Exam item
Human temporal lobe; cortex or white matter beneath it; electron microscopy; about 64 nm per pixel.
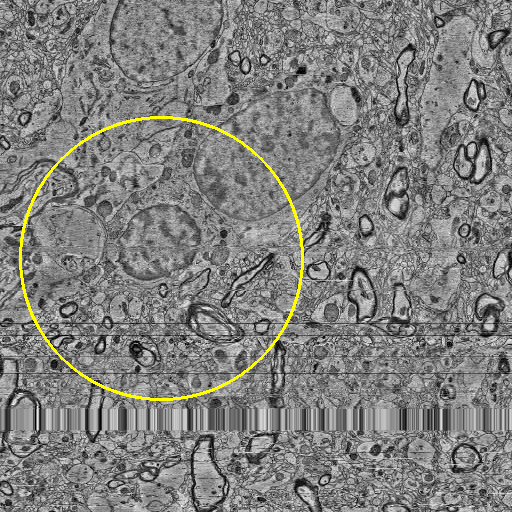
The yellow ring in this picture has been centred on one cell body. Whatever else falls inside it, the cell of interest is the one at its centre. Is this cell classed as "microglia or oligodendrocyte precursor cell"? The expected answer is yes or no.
no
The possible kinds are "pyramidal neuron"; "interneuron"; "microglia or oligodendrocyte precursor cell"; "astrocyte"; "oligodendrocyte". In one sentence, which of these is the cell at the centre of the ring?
The cell marked by the ring is an oligodendrocyte.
